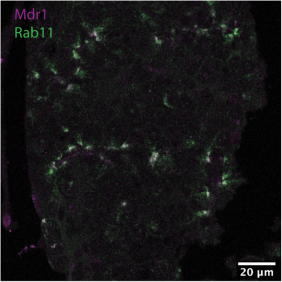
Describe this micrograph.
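The two colours often overlap to give white or pale pink points, and these are strung into irregular branching lines running through the tissue. Darker areas at the edges lie outside the tissue.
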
